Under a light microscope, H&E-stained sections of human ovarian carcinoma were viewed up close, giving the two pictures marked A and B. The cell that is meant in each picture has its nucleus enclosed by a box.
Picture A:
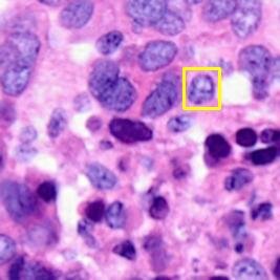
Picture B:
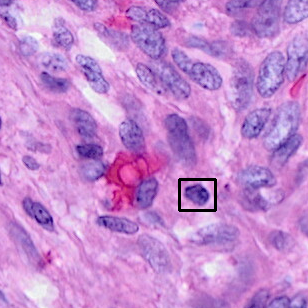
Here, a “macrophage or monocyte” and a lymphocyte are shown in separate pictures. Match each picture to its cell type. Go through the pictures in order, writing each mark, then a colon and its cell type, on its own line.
A: macrophage or monocyte
B: lymphocyte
